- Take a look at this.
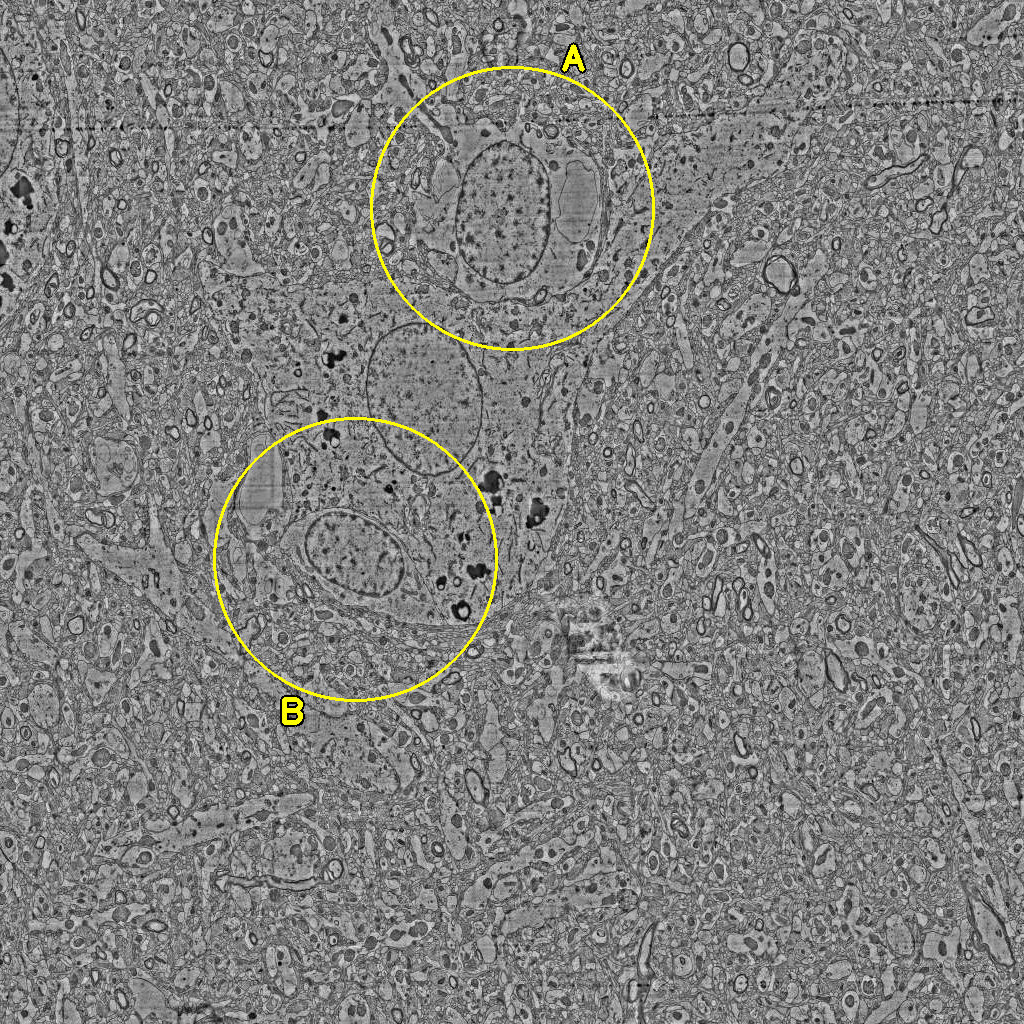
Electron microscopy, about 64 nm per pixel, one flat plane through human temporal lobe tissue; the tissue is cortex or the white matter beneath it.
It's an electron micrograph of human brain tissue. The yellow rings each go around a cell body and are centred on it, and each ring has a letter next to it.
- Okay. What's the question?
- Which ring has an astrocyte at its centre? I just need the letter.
A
